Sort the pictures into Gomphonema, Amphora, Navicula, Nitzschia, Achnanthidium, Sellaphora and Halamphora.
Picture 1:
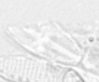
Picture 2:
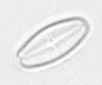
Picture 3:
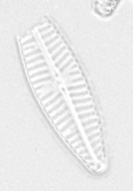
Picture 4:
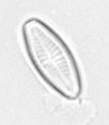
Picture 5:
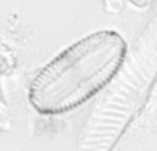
Sellaphora: 1
Achnanthidium: 2, 4
Navicula: 3
Amphora: 5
